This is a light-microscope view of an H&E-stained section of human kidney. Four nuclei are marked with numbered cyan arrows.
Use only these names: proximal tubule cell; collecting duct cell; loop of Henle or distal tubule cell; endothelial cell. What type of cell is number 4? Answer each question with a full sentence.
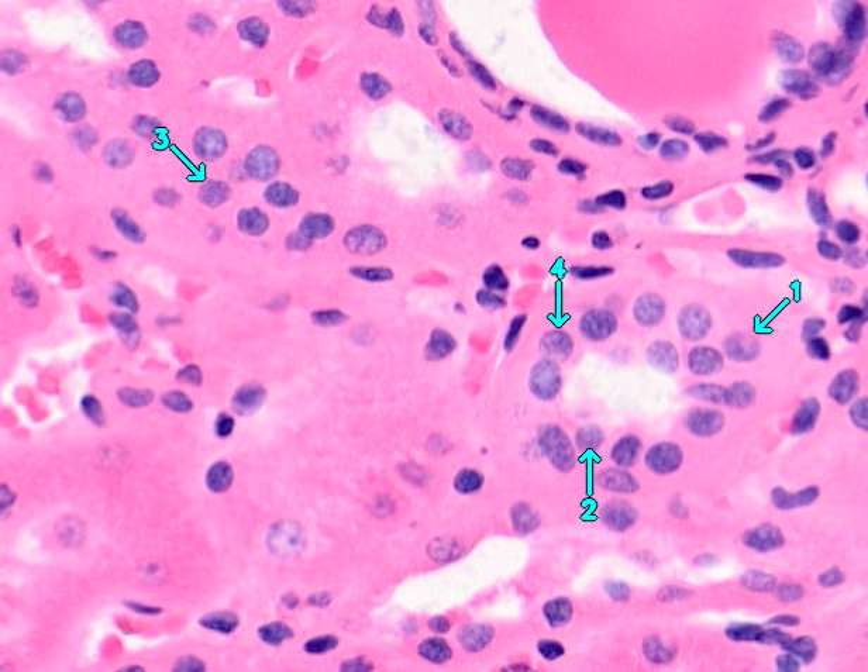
The cell given label 4 is a collecting duct cell.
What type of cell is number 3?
The nucleus with number 3 is that of a loop of Henle or distal tubule cell.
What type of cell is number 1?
Cell 1 is classified as a collecting duct cell.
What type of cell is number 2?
The cell that bears the number 2 is a collecting duct cell.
